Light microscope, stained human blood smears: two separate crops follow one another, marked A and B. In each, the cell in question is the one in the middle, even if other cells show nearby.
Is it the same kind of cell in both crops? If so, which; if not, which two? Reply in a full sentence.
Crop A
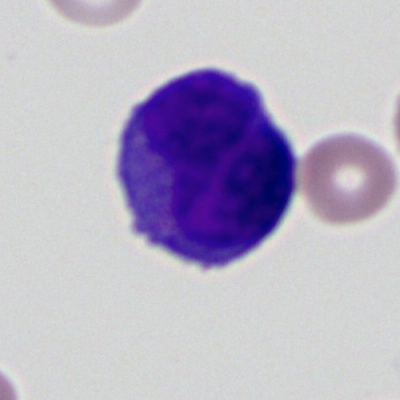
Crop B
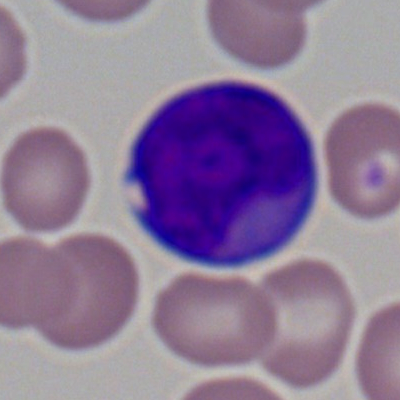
Yes, both crops contain myeloblasts at their centres.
